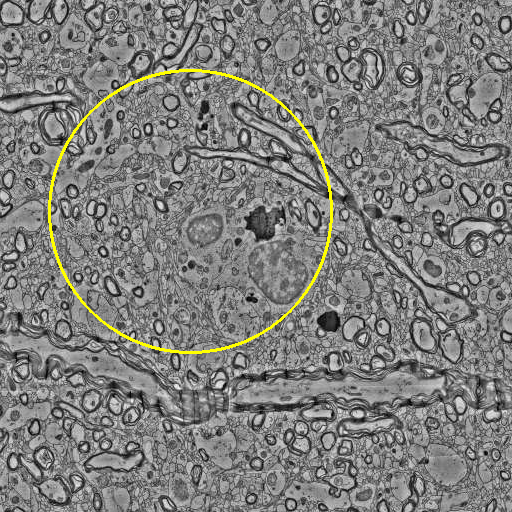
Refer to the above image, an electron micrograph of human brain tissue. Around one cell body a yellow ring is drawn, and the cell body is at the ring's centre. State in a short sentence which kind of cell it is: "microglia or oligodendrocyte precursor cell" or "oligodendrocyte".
The centre of the ring falls on an oligodendrocyte.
